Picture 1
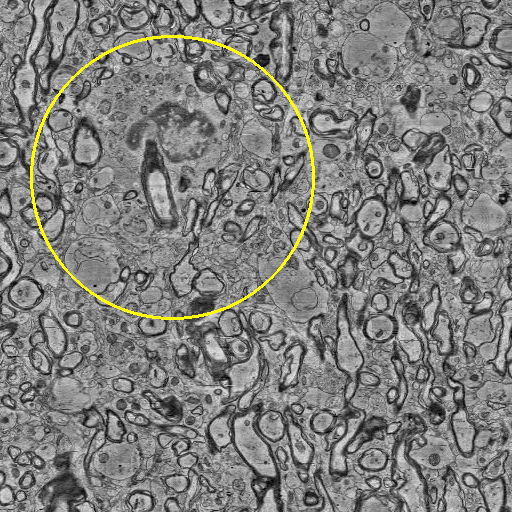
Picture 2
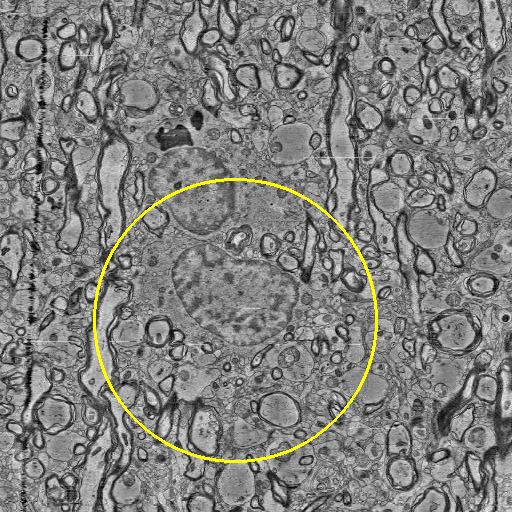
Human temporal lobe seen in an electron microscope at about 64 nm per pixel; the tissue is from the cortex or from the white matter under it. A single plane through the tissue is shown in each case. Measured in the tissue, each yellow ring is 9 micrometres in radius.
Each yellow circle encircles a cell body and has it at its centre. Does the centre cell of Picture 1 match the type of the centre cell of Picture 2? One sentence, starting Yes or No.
Yes, the cell centred in Picture 1 and the one in Picture 2 share a type.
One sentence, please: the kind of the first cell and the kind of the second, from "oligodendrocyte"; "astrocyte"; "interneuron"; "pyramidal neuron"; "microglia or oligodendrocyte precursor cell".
The ring centre holds an oligodendrocyte in each of the two pictures.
